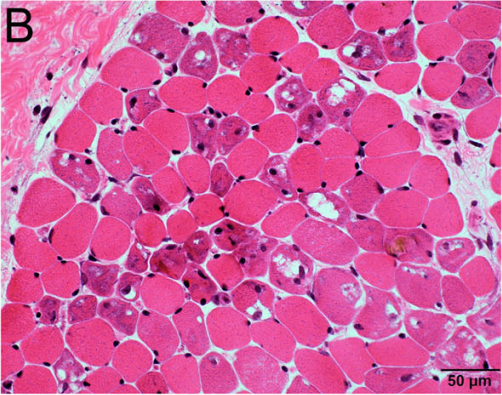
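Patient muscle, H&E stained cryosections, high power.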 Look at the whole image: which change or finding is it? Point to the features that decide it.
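Many fibers have purplish rather than pink cytoplasm. These fibers contain clear vacuoles. They lie among normal pink polygonal fibers. The answer: basophilic vacuolar degeneration.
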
